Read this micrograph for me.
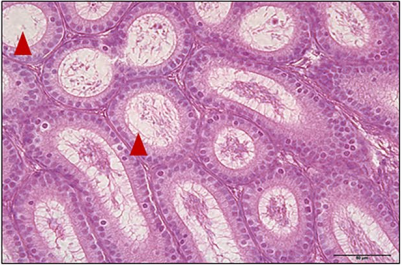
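This is another section through the packed coils of the epididymal duct. Round, oval and elongated tubular profiles are separated by thin pink connective tissue. The tall epithelium lining each tubule stains pink, with rows of purple oval nuclei toward the base. Several lumens hold only sparse, pale, fibrillar or wispy contents, and some look nearly empty. In a few profiles the material lies as streaks down the middle of an elongated lumen. Red arrowheads mark two tubules whose lumens are mostly clear.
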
